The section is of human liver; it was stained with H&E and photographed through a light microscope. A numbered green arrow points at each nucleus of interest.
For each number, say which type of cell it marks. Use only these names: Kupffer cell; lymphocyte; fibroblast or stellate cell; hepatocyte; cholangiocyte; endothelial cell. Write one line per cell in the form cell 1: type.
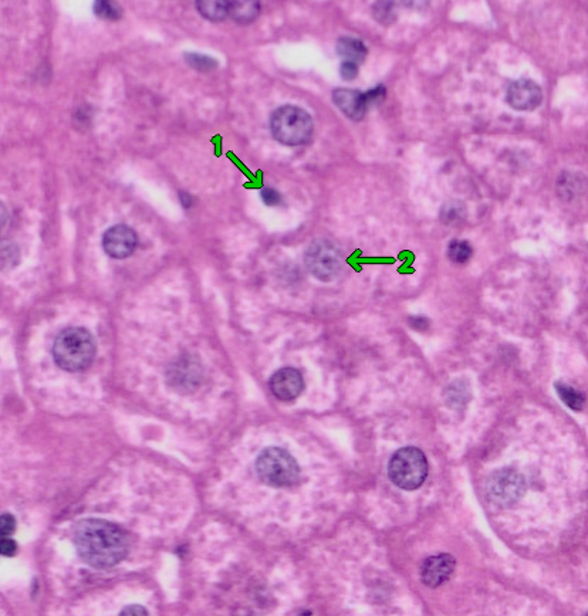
cell 1: lymphocyte
cell 2: hepatocyte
